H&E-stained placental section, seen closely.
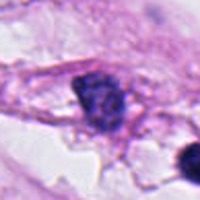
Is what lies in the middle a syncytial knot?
No, it is a cytotrophoblast.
